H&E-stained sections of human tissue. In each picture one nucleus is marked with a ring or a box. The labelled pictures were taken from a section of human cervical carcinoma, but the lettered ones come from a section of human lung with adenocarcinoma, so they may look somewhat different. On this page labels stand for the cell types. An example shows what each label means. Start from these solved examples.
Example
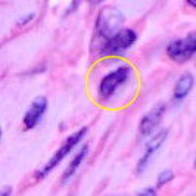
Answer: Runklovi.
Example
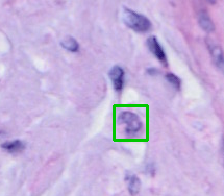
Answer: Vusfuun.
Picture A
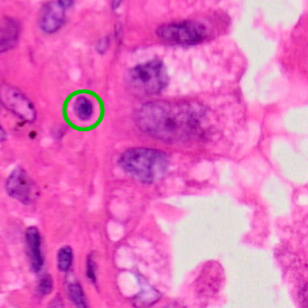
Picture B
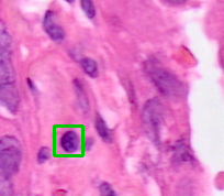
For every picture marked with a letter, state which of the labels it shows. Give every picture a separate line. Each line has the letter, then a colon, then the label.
A: Runklovi.
B: Runklovi.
